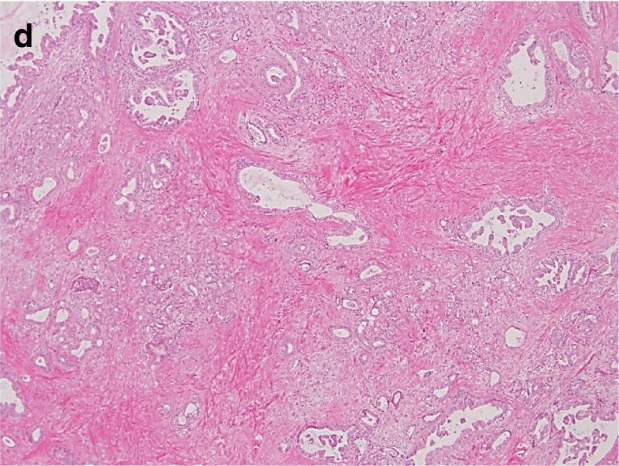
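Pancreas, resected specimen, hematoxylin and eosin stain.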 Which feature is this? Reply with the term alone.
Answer: Sclerotic stroma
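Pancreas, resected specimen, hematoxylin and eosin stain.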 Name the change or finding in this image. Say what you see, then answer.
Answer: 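Tubular carcinoma. Many irregular, angulated glands and tubules of varying size. Glands lie haphazardly within dense pink fibrous stroma. Some glands are dilated with irregular, branching contours.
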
